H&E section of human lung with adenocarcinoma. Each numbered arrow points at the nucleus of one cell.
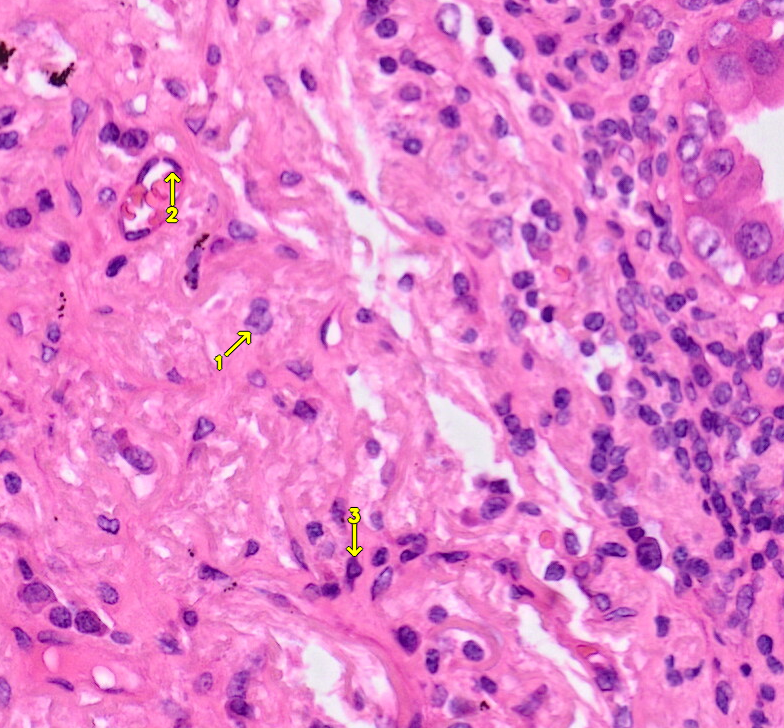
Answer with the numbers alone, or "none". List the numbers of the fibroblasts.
1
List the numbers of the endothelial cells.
2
